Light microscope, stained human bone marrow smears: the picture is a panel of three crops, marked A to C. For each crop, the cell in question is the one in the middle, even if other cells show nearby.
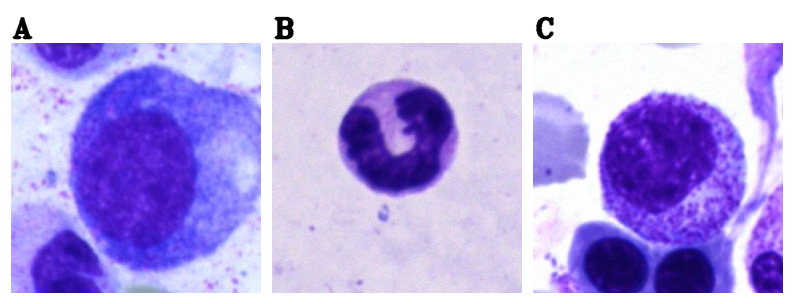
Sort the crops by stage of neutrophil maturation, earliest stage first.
A, C, B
